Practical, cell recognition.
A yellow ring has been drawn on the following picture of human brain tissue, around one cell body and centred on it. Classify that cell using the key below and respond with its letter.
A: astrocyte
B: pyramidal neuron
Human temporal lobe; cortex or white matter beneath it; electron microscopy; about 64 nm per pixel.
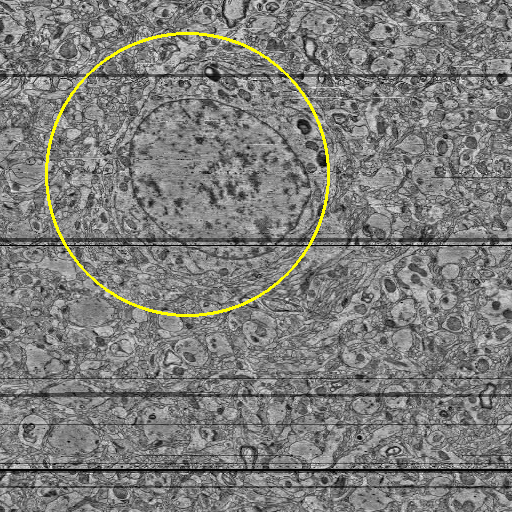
B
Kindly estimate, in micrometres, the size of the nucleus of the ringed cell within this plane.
In this plane, the nucleus of the cell at the centre of the ring measures about 12 by 10 micrometres.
